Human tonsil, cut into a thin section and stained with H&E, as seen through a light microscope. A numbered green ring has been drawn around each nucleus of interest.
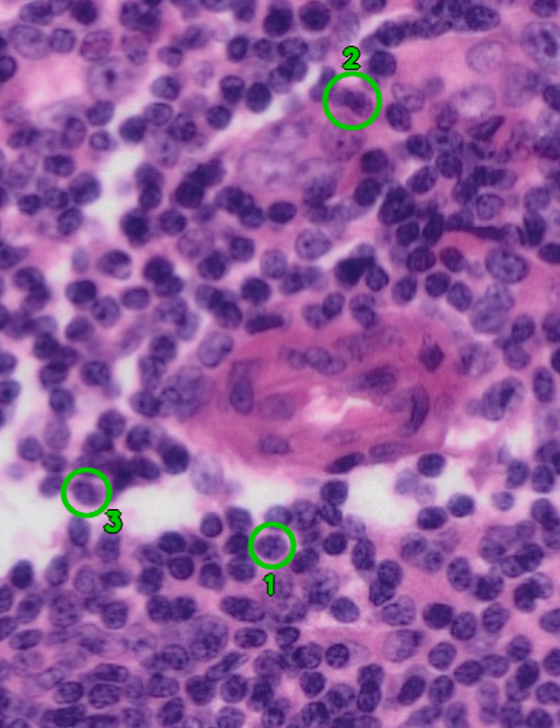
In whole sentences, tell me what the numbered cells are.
Cell 1 is a small lymphocyte, cell 2 is an endothelial cell and cell 3 is a small lymphocyte.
